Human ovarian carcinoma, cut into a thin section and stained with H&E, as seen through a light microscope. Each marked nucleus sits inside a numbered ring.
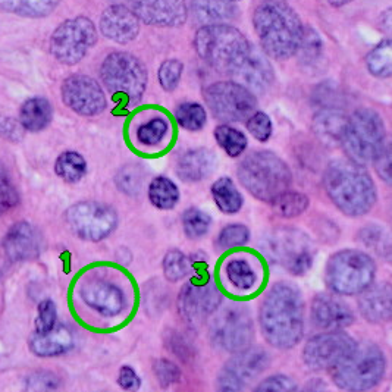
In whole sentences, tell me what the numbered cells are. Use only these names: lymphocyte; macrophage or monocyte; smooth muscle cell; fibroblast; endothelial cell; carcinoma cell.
Cell 1 is a fibroblast, cell 2 is a lymphocyte and cell 3 is a lymphocyte.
